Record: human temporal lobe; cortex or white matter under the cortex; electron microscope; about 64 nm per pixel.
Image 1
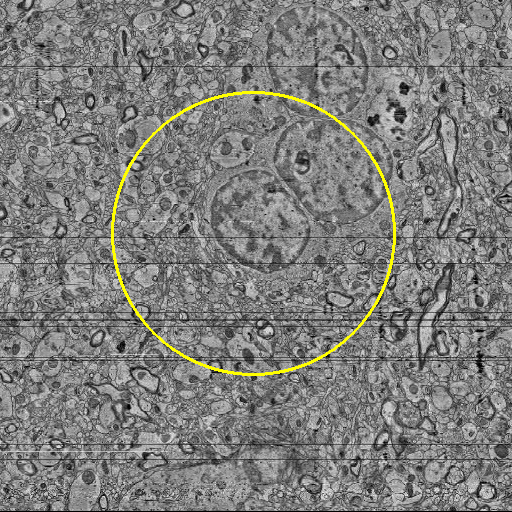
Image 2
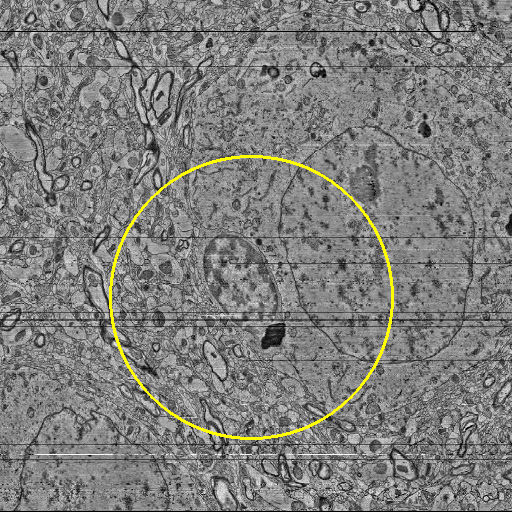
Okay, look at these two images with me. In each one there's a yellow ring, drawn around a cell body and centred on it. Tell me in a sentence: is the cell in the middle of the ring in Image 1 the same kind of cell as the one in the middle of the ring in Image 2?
Yes, they're the same kind of cell.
